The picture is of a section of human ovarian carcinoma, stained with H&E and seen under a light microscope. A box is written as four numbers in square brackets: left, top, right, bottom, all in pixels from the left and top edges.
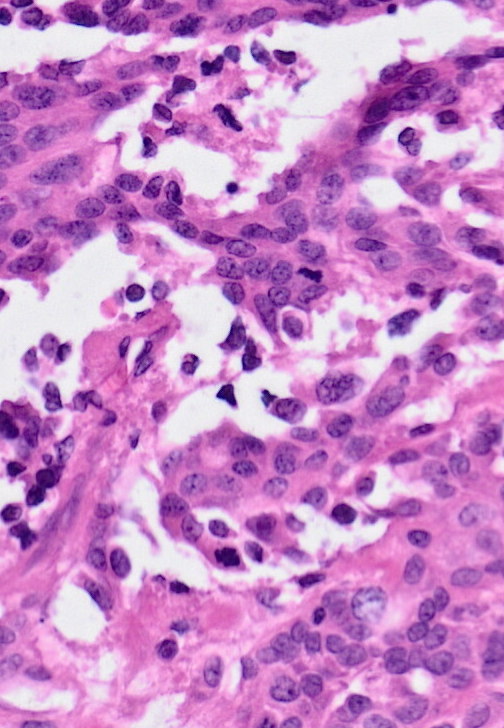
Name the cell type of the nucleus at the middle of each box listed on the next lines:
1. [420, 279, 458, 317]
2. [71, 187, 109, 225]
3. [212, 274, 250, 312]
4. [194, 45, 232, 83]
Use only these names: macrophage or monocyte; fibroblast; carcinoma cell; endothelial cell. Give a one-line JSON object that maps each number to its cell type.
{"1": "carcinoma cell", "2": "carcinoma cell", "3": "carcinoma cell", "4": "macrophage or monocyte"}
